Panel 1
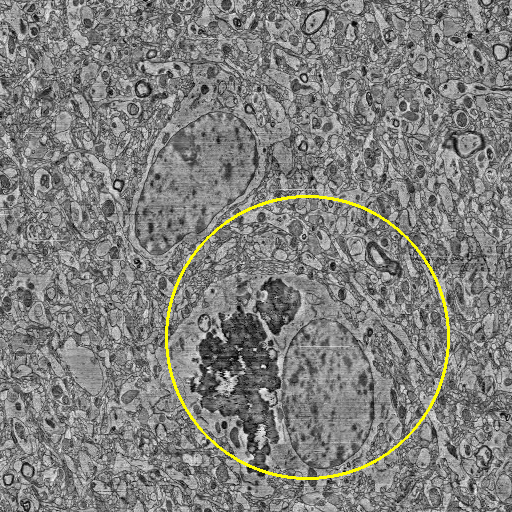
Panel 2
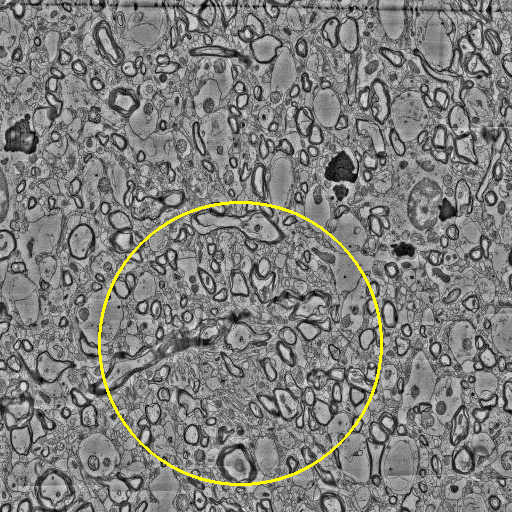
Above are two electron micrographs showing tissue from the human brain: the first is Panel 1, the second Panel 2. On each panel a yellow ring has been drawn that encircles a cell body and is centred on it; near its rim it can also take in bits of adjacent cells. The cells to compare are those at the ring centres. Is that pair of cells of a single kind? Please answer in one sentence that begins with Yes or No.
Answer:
No, the ring-centred cells of Panel 1 and Panel 2 belong to two kinds.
